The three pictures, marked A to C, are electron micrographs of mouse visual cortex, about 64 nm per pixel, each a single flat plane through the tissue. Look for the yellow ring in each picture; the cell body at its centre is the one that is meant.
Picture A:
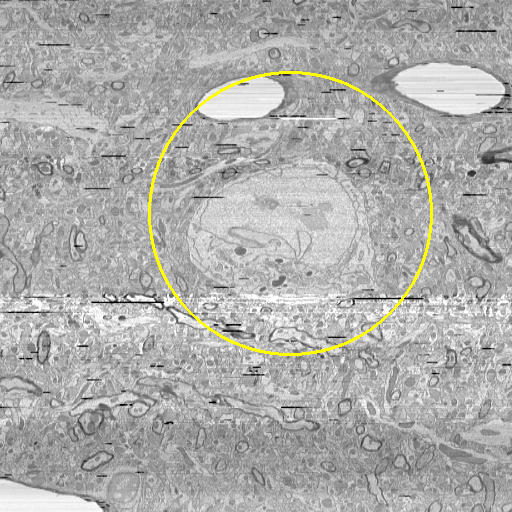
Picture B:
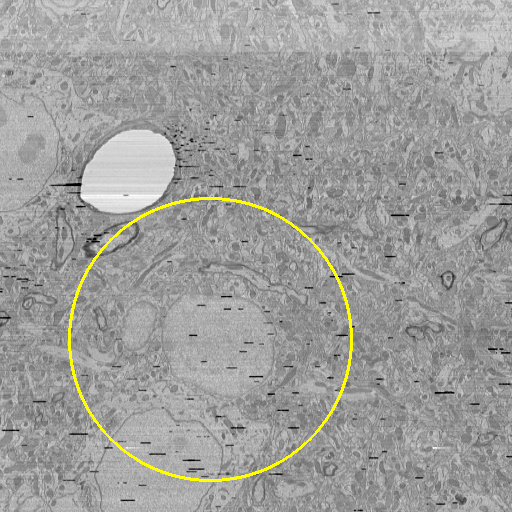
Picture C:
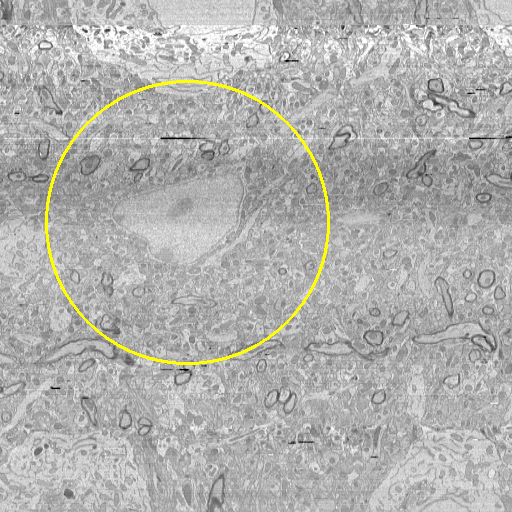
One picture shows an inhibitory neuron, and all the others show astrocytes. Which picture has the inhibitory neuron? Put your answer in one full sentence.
It is picture A that shows the inhibitory neuron.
